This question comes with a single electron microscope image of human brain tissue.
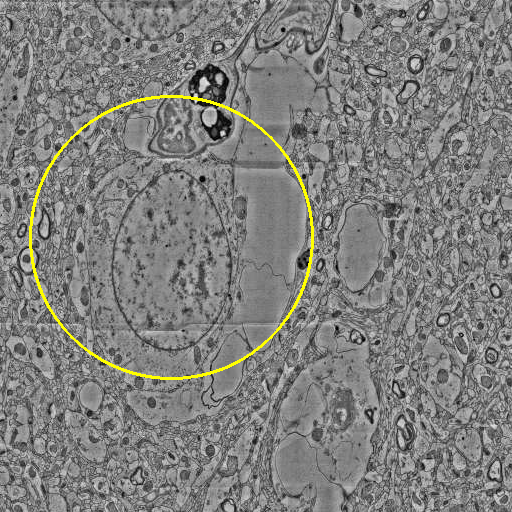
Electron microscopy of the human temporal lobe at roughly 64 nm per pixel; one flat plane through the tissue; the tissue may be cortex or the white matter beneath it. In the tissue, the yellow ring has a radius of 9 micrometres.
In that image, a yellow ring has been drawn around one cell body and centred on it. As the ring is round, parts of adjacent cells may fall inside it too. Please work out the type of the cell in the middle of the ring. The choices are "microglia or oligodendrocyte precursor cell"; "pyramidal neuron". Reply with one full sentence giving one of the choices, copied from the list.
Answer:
Of the choices, a pyramidal neuron is the cell sitting in the middle of the ring.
